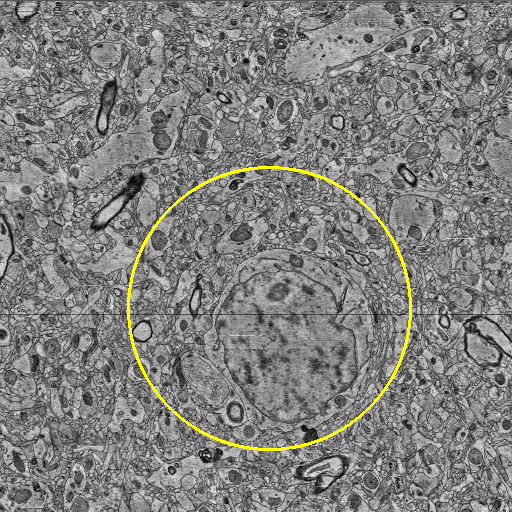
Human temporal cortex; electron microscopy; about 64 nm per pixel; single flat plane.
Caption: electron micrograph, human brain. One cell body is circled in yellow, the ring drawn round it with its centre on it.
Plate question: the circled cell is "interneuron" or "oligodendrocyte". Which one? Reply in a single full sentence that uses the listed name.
The yellow ring on the plate is centred on an interneuron, going by the listed names.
